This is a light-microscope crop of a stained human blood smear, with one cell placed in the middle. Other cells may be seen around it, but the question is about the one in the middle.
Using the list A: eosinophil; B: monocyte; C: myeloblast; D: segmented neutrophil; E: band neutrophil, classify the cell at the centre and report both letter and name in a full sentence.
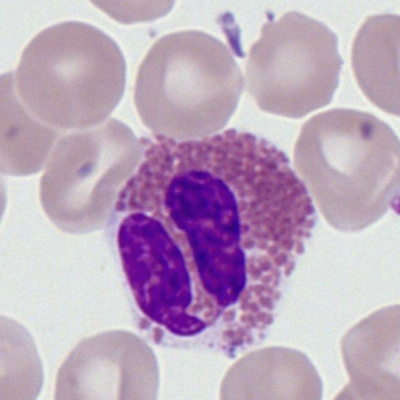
The right choice is option A: the cell in the middle is an eosinophil.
